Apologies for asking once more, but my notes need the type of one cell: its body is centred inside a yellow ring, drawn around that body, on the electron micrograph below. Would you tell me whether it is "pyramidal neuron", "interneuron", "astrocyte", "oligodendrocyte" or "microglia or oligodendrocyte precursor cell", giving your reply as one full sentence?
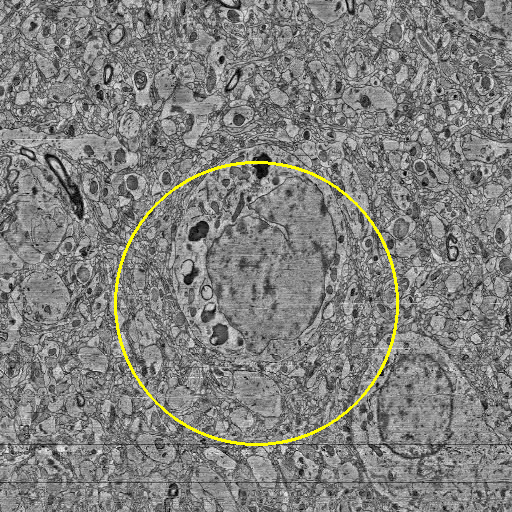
The cell that the yellow ring is centred on is an interneuron in this micrograph.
